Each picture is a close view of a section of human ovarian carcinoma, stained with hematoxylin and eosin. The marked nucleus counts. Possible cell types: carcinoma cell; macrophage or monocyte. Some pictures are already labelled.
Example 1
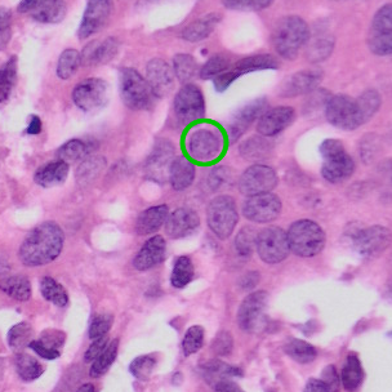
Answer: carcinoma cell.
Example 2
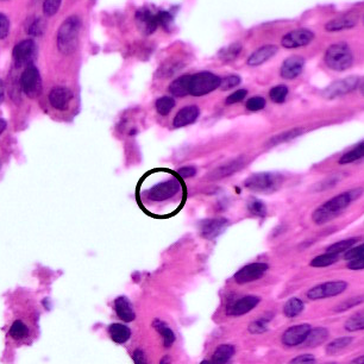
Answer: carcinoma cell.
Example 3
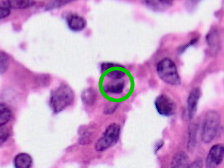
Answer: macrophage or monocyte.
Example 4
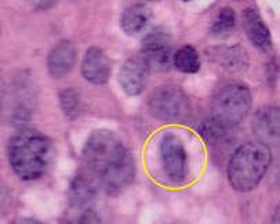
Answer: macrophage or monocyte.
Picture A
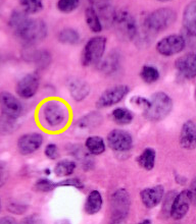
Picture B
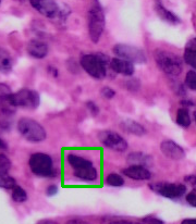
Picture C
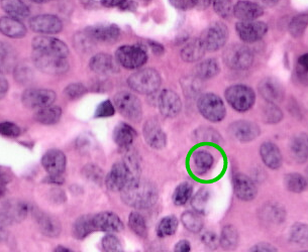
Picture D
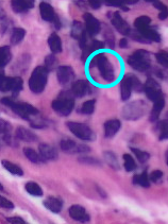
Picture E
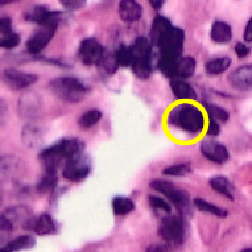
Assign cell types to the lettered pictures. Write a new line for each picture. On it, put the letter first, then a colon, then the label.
A: macrophage or monocyte.
B: carcinoma cell.
C: macrophage or monocyte.
D: carcinoma cell.
E: carcinoma cell.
